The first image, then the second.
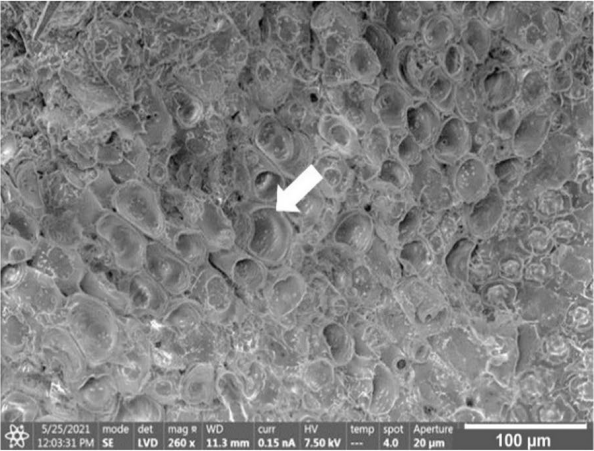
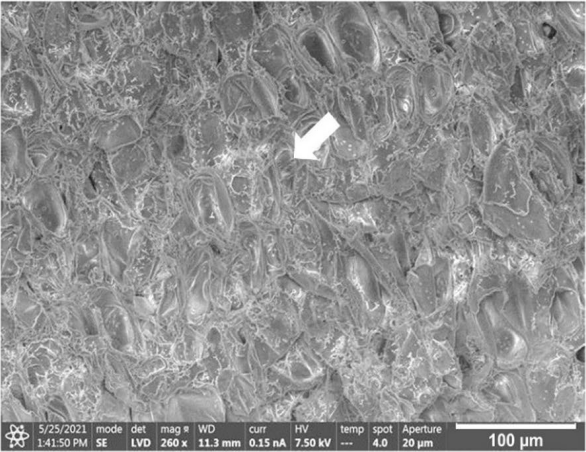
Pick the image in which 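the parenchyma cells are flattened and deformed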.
the second image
